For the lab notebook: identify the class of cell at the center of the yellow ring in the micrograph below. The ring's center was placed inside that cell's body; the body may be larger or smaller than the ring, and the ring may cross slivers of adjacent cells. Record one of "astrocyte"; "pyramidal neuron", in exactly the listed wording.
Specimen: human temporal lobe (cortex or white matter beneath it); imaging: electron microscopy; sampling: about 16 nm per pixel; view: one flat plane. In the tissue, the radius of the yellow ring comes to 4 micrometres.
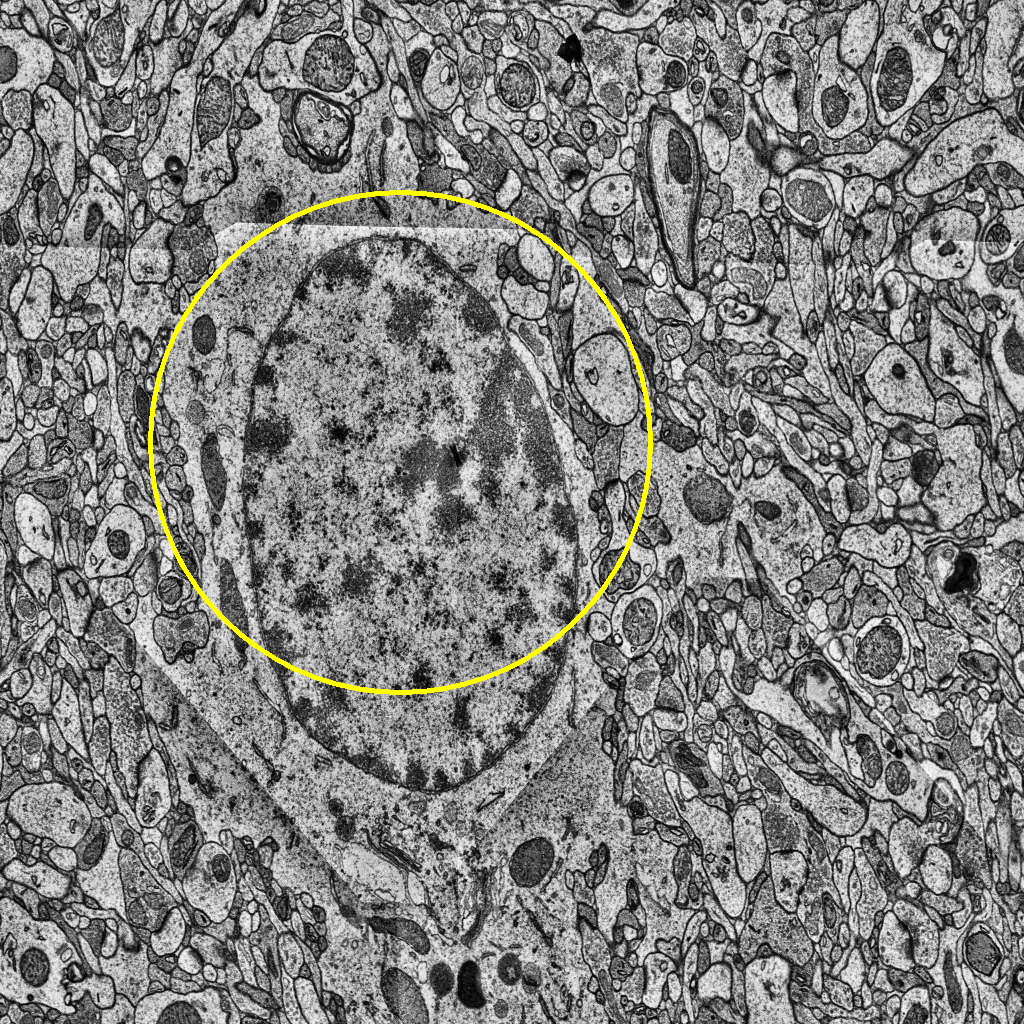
astrocyte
